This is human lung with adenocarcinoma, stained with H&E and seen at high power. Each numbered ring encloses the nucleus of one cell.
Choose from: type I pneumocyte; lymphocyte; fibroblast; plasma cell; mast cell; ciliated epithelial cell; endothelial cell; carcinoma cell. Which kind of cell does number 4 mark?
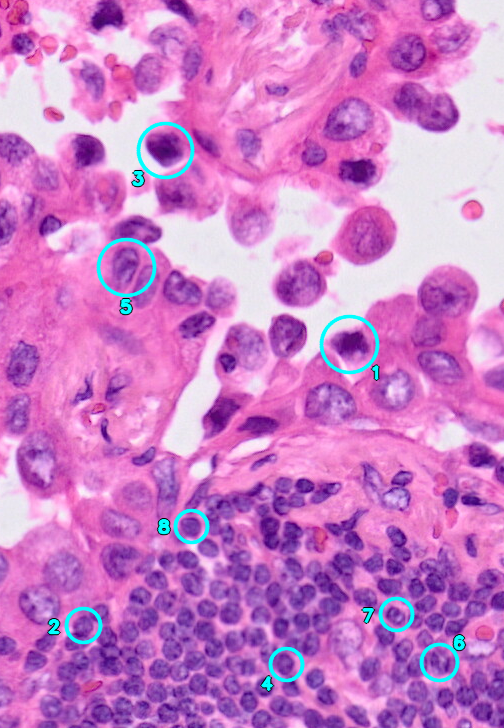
lymphocyte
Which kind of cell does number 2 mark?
lymphocyte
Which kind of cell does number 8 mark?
lymphocyte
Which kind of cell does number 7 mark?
lymphocyte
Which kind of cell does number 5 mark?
carcinoma cell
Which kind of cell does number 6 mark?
lymphocyte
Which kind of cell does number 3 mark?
carcinoma cell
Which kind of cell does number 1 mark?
carcinoma cell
